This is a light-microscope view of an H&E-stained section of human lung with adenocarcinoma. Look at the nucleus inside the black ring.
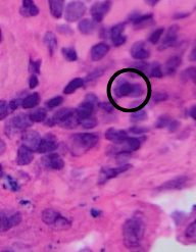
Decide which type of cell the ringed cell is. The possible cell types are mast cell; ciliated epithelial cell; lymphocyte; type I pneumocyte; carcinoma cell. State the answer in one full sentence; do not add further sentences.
The expected answer is simply that the ringed cell is a lymphocyte.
